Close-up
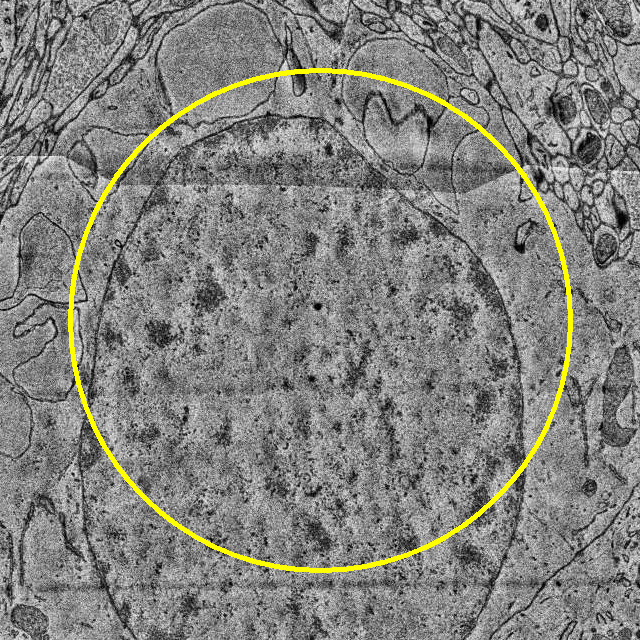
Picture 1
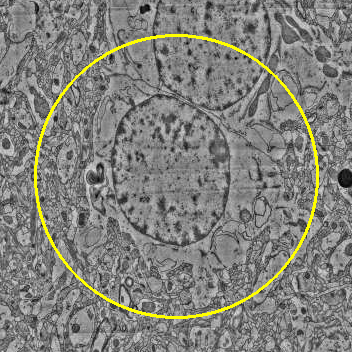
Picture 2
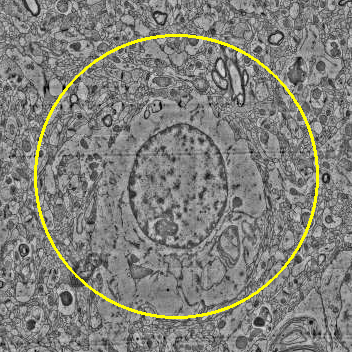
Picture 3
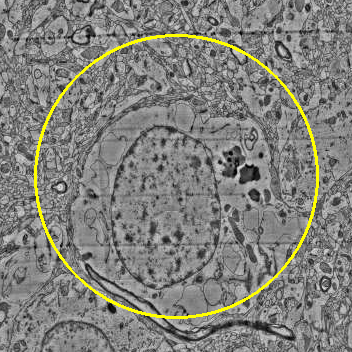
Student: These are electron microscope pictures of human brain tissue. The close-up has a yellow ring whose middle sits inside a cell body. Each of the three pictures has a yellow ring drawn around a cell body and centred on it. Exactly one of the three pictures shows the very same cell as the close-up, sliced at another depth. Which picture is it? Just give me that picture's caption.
Picture 3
